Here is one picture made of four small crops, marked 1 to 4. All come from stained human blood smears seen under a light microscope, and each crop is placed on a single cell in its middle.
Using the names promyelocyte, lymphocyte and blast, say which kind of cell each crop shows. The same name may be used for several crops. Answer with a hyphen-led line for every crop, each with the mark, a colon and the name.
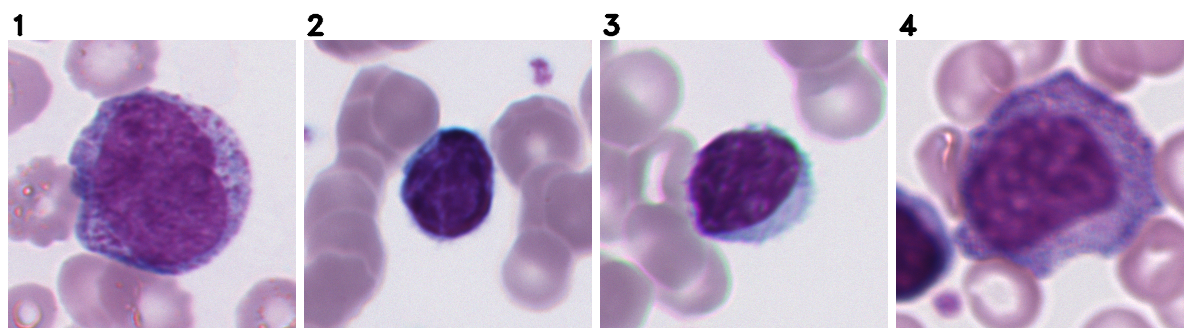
- 1: promyelocyte
- 2: lymphocyte
- 3: lymphocyte
- 4: promyelocyte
